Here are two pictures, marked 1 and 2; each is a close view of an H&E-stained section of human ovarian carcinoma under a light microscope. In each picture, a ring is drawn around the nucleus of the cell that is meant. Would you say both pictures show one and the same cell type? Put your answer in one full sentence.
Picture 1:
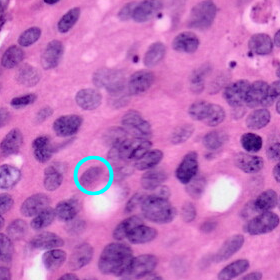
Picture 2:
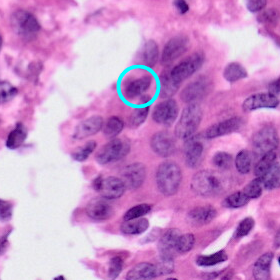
No, picture 1 shows a carcinoma cell and picture 2 shows a “macrophage or monocyte”.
